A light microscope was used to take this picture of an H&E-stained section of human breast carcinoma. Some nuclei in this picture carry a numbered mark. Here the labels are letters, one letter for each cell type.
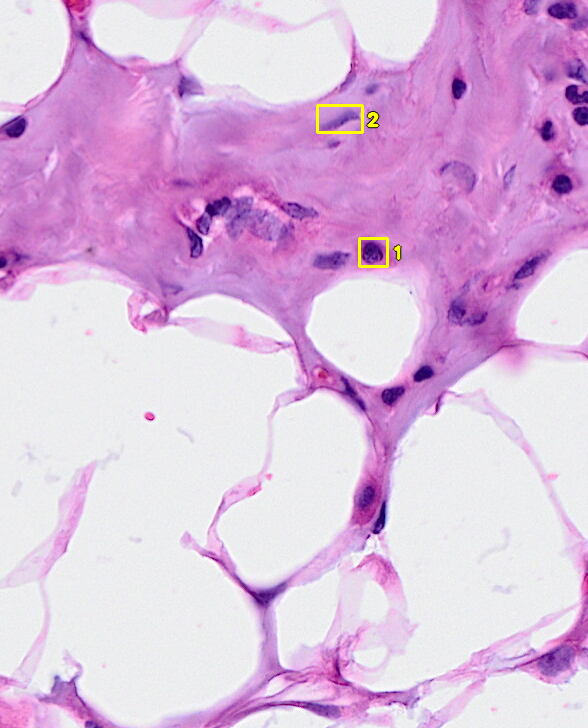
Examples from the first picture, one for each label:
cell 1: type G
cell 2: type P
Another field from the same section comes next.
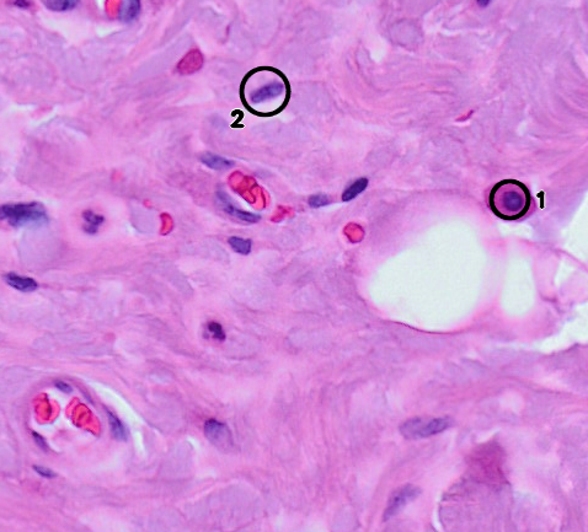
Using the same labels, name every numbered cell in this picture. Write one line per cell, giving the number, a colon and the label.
1: type G
2: type P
